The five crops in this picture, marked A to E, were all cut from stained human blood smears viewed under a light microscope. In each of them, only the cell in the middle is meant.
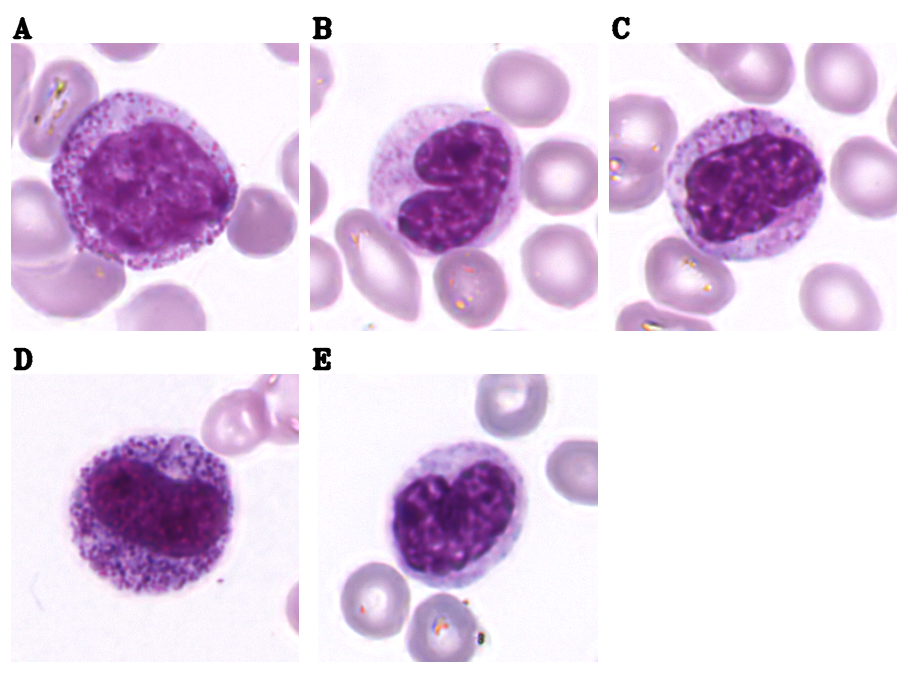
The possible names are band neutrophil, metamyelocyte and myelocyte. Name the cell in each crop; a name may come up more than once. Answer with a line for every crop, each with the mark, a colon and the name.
A: myelocyte
B: band neutrophil
C: metamyelocyte
D: metamyelocyte
E: band neutrophil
